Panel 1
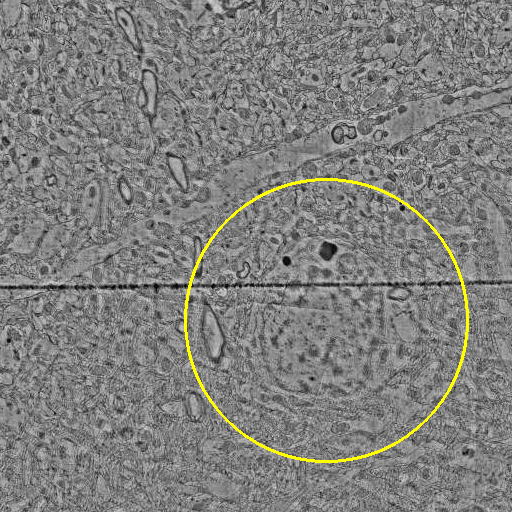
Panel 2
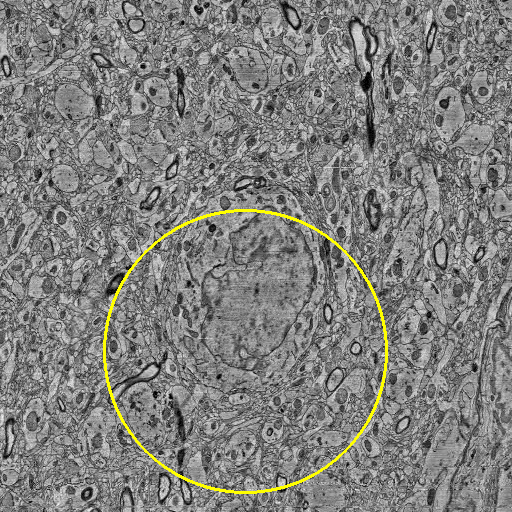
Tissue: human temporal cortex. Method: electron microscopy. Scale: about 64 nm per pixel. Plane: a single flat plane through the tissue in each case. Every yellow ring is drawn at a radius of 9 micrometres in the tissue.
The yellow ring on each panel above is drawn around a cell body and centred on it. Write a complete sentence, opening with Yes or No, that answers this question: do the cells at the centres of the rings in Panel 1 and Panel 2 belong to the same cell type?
Yes, both cells belong to the same cell type.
